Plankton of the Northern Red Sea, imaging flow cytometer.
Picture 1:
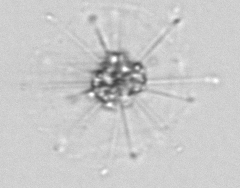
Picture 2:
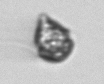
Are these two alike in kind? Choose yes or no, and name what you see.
No. First a radiolarian, second Scrippsiella.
